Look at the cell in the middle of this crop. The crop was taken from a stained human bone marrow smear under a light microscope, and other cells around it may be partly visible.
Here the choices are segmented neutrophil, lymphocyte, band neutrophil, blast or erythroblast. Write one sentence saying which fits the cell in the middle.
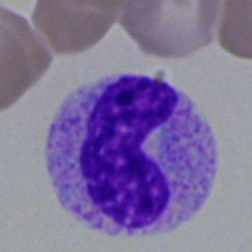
The cell at the centre of the field is a band neutrophil.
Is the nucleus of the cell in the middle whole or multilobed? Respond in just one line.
What stands out is a nucleus forming one compact round, oval or kidney-shaped mass.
